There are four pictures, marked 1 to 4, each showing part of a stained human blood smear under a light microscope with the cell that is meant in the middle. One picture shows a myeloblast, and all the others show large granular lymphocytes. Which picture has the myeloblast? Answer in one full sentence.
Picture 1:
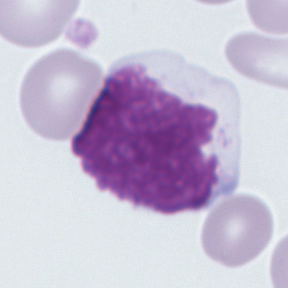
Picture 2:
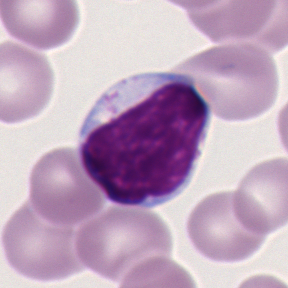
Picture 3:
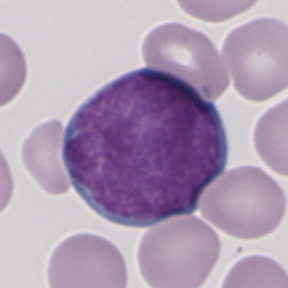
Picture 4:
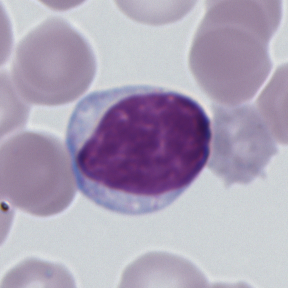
It is picture 3 that shows the myeloblast.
